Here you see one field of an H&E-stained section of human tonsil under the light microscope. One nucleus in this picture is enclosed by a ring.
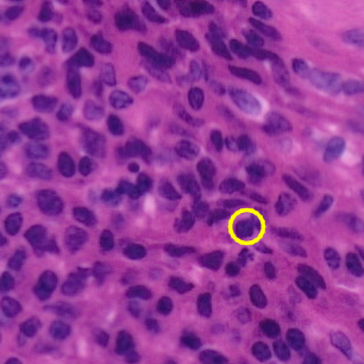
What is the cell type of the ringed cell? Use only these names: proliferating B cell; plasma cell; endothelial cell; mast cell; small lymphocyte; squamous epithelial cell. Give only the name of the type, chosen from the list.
plasma cell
